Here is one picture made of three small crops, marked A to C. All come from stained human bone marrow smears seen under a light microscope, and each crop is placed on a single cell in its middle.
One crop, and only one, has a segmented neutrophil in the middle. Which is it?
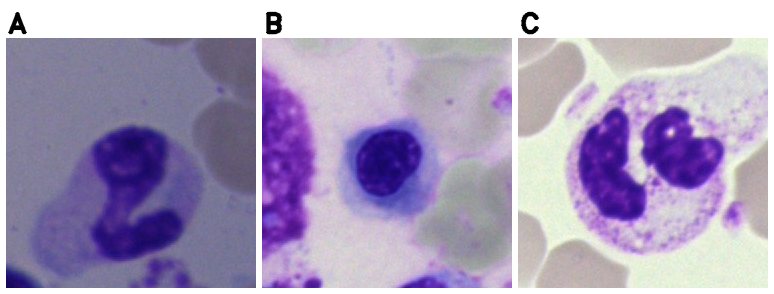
C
